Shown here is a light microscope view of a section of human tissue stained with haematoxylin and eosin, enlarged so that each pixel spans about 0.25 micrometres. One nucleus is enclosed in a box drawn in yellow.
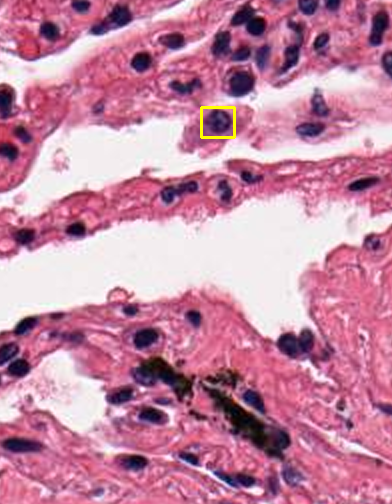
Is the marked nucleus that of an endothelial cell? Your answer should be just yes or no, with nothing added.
no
